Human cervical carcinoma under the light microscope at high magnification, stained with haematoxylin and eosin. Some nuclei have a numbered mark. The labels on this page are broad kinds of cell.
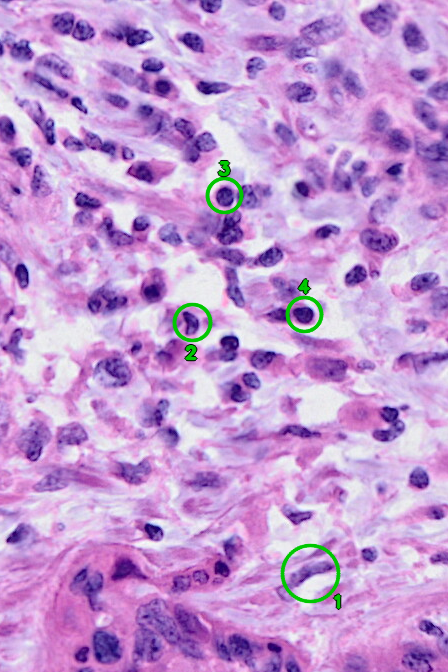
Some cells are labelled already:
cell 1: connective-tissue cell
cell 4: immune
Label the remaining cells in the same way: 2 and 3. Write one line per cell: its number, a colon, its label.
2: immune
3: immune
